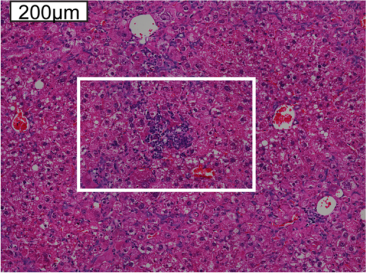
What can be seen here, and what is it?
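This is liver tissue with pink hepatocytes and scattered vessels, some containing red blood cells. In the centre lies a compact cluster of small cells with dark purple, round nuclei and very little cytoplasm, standing out against the larger, paler hepatocytes around it. Such a tight gathering of small dark cells within the liver parenchyma is an inflammatory cell aggregate. The surrounding hepatocytes have pink cytoplasm, round nuclei and in places a few clear vacuoles. Vessels with open pale lumens are scattered around the field.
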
